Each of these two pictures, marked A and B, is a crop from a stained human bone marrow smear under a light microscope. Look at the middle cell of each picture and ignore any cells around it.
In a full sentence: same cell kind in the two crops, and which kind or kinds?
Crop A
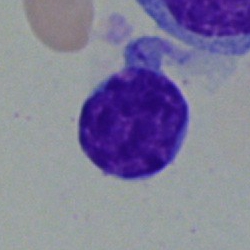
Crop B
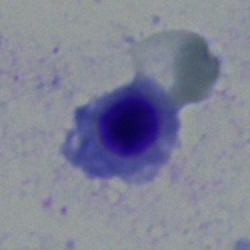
No, crop A and crop B show a lymphocyte and an erythroblast respectively.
